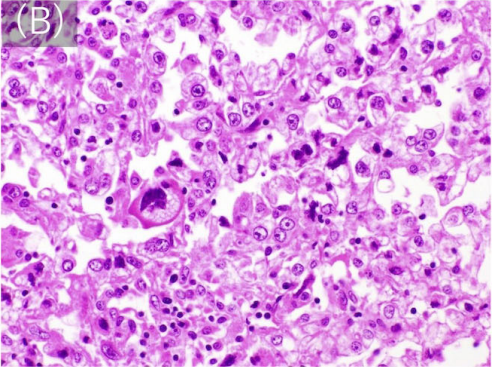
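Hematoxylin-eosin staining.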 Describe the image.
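This is a sheet of tumor cells made up of atypical cells with pale to pink cytoplasm, lying loosely with clear spaces between them. The nuclei vary strongly from cell to cell: many are large and round with a distinct purple nucleolus, while others are dark, irregular and bent. Near the center lies a giant cell with abundant pink cytoplasm and a large, dark, misshapen nucleus. Some cells appear elongated, others rounded with little cytoplasm around a big nucleus. Small dark round nuclei of scattered inflammatory cells lie among the tumor cells. The overall picture is one of a highly pleomorphic malignant tumor with large, malformed nuclei.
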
